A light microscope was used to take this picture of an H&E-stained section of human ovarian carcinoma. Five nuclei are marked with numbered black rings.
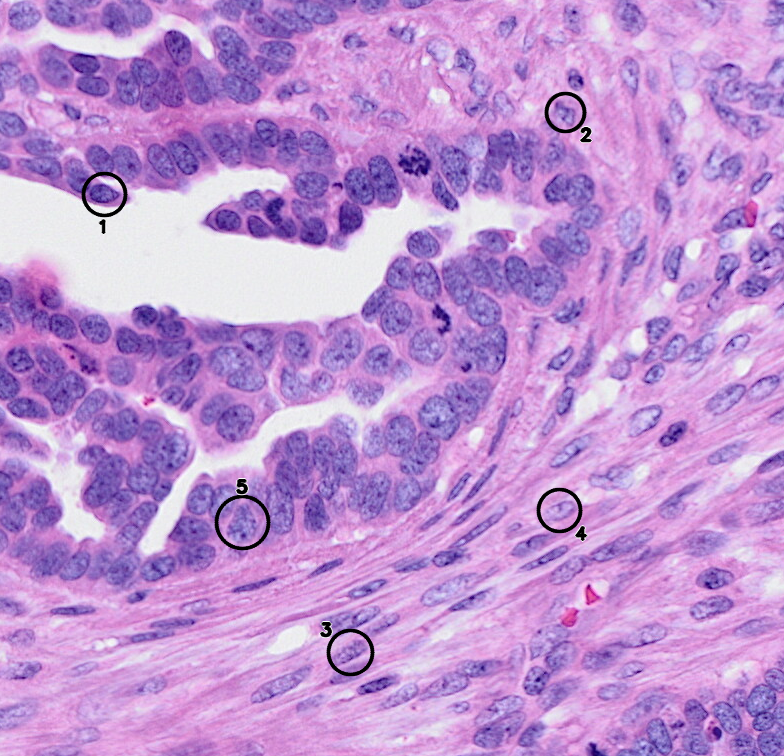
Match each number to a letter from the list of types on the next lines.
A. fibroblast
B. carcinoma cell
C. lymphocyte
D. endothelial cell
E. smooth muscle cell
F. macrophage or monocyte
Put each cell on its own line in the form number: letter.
1: B
2: A
3: A
4: A
5: B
